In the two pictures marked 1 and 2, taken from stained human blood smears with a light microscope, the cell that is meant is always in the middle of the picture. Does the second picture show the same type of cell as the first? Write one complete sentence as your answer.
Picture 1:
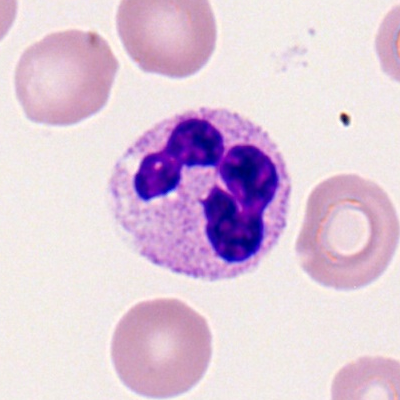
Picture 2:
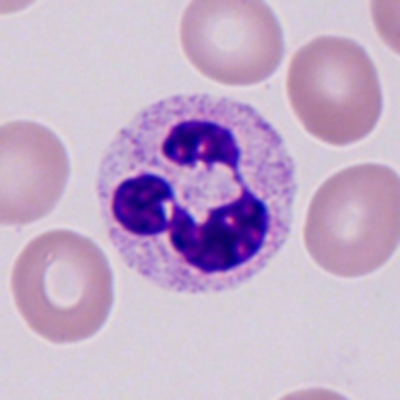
Yes, both cells are segmented neutrophils.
